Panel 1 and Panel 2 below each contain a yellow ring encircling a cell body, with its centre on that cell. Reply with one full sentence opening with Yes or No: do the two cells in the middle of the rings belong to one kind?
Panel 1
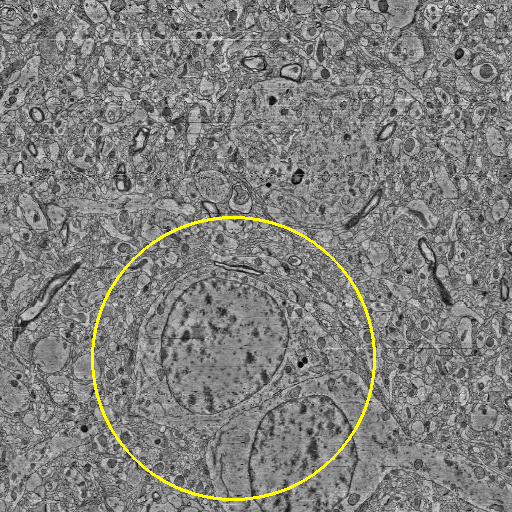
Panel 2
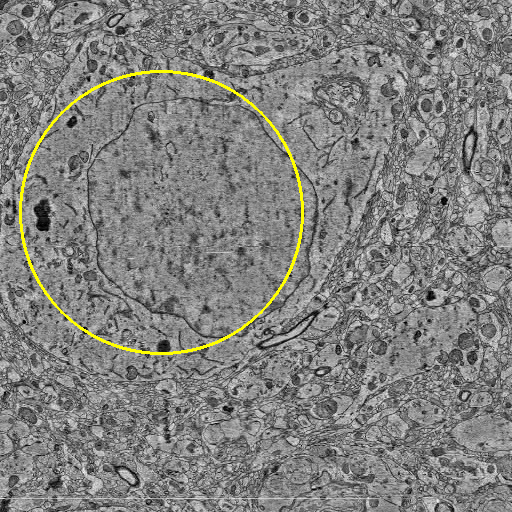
Yes, the cells at the middle of the Panel 1 ring and the Panel 2 ring are of one kind.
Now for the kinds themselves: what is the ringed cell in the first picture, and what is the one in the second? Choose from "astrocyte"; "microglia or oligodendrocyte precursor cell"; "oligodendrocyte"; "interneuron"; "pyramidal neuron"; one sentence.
In each picture the ringed cell is a pyramidal neuron.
